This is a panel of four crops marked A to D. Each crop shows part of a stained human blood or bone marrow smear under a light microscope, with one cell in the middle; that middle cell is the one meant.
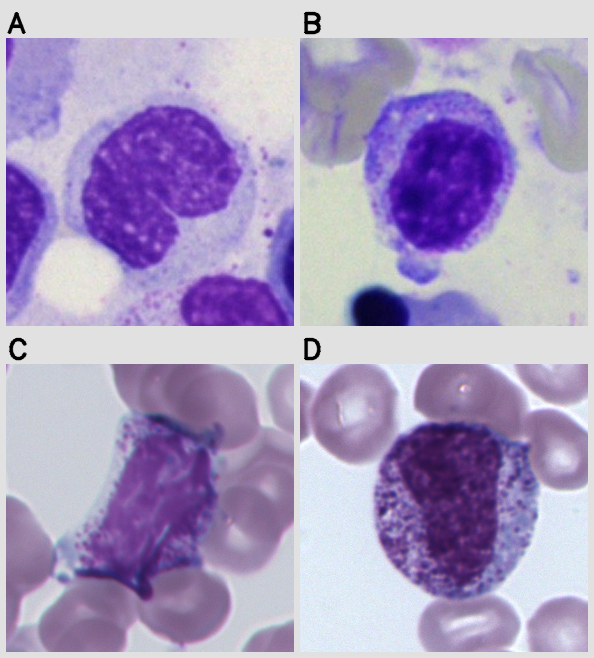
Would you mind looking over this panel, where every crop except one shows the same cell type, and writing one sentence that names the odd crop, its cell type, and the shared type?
All of the other crops show myelocytes, while crop A shows a monocyte instead.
